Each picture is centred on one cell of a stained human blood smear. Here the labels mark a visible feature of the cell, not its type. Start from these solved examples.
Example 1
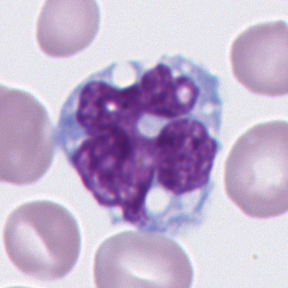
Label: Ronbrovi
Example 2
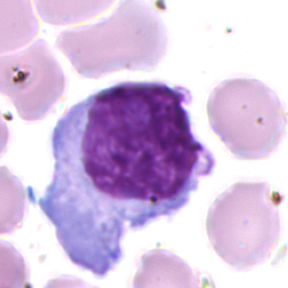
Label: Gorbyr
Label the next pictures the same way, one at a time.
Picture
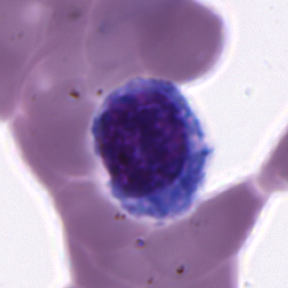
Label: Ronbrovi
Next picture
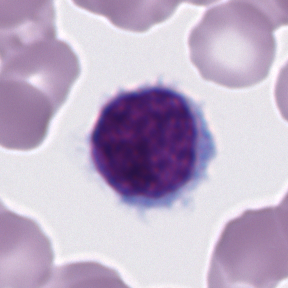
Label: Ronbrovi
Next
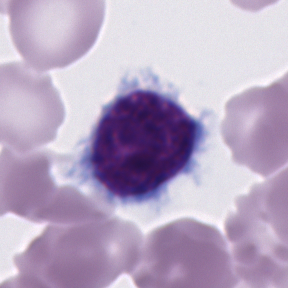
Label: Ronbrovi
